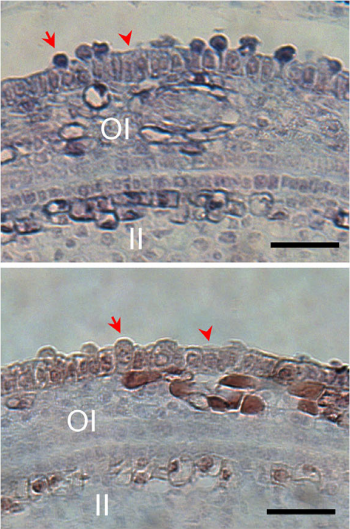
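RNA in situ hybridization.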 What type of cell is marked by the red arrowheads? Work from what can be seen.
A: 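Non-fibre epidermal cells. The marked cells lie in the outermost single cell layer. They are small columnar cells flush with the surface, not bulging.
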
